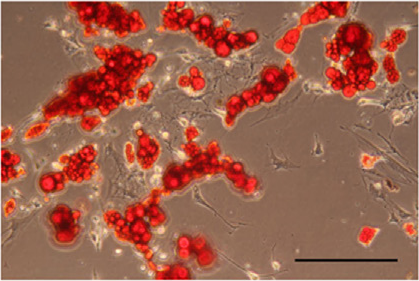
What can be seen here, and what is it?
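The red cells are rounded and lie gathered in irregular clumps and chains rather than spread evenly over the dish. Within each cell the droplets vary in size, some large and glossy, others small and clustered like grapes.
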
